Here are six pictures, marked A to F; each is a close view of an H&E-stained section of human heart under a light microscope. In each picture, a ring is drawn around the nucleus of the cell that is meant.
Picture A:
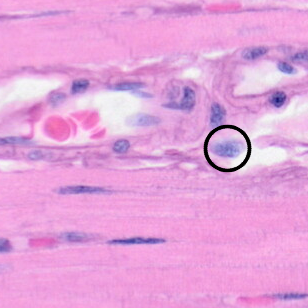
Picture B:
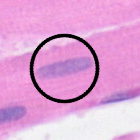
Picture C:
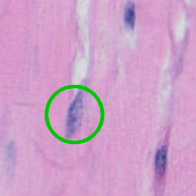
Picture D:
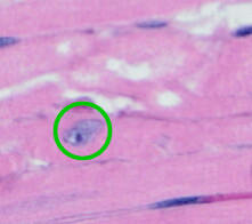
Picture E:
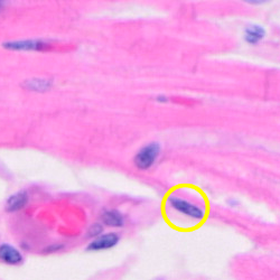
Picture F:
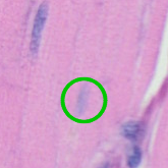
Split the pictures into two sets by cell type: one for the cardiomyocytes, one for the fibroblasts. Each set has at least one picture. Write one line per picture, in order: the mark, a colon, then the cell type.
A: fibroblast
B: cardiomyocyte
C: fibroblast
D: cardiomyocyte
E: fibroblast
F: cardiomyocyte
